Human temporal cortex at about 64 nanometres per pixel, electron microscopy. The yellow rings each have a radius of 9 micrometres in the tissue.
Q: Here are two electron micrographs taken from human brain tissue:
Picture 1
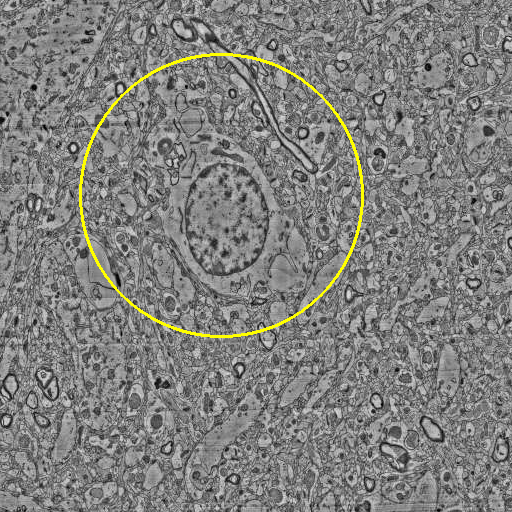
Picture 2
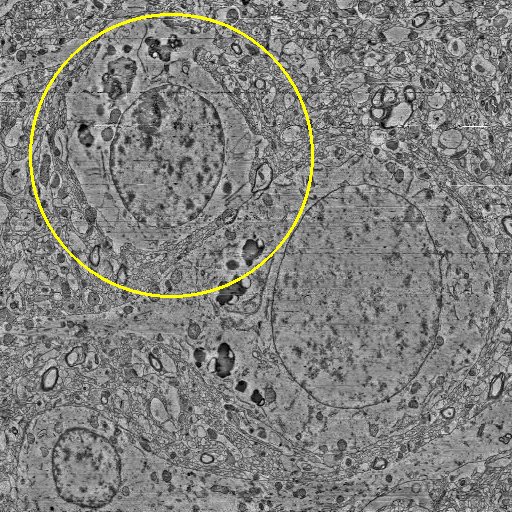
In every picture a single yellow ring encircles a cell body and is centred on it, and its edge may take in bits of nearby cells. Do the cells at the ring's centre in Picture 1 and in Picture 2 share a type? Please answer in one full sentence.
Yes, the cells at the ring's centre in Picture 1 and Picture 2 share a type.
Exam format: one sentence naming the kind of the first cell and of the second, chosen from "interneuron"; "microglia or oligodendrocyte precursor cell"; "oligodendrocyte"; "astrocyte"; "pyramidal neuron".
The second cell is an astrocyte, just as the first is.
